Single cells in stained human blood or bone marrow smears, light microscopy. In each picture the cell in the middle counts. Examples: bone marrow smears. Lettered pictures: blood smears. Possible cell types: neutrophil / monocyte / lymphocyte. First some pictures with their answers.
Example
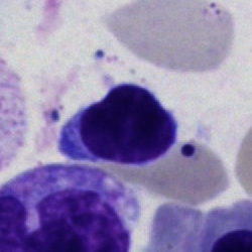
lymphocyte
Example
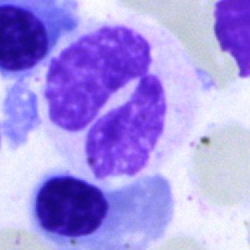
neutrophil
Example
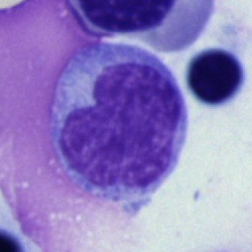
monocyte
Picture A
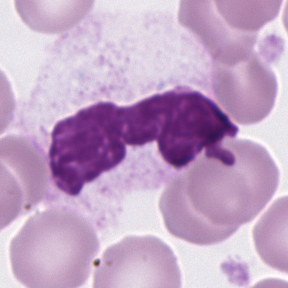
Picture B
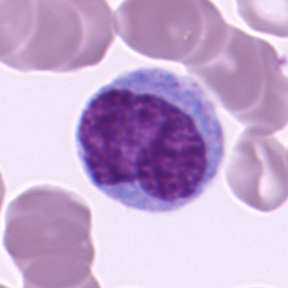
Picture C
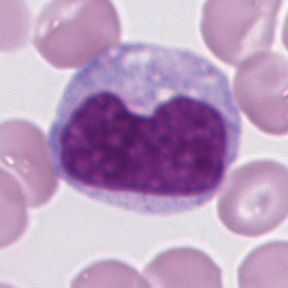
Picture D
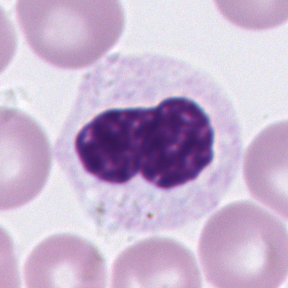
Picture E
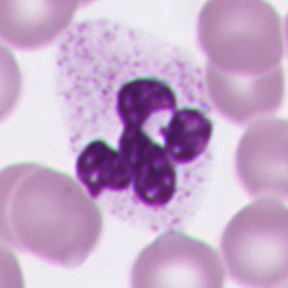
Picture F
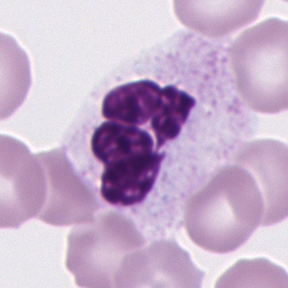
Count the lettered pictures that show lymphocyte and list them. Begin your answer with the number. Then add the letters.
0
